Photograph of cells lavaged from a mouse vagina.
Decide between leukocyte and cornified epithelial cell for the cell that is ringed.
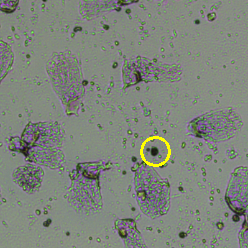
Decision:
I take the ringed cell for a leukocyte.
